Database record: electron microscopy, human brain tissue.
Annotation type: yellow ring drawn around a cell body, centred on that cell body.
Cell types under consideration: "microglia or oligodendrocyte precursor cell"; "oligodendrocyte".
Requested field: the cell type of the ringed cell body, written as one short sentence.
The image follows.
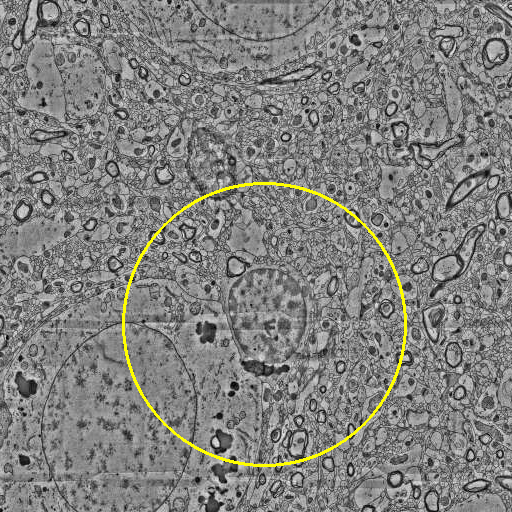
The ringed cell body represents an oligodendrocyte.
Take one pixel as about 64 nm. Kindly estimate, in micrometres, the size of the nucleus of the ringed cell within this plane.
Roughly 6 by 5 micrometres is the size of the nucleus in this plane.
